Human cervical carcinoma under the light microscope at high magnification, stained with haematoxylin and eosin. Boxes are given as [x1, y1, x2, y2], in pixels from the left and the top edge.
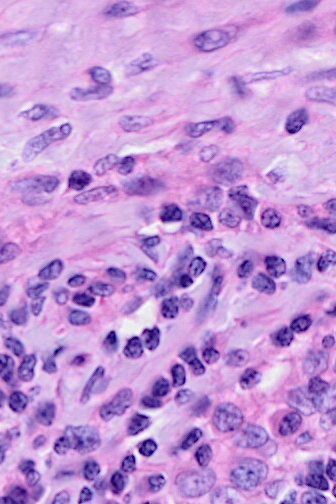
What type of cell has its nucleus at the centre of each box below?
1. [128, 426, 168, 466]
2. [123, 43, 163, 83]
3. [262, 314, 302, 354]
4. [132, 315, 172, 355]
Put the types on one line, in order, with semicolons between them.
lymphocyte; fibroblast; lymphocyte; lymphocyte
